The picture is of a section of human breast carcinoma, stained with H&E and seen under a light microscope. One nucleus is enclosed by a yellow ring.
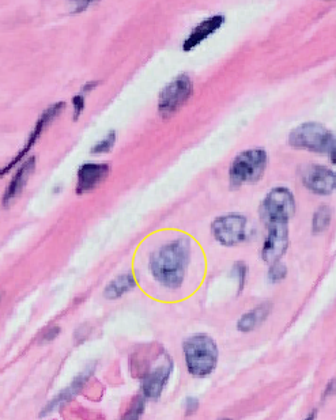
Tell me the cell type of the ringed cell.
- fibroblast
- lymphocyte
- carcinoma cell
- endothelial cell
endothelial cell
